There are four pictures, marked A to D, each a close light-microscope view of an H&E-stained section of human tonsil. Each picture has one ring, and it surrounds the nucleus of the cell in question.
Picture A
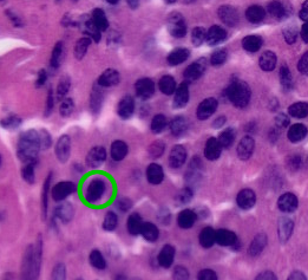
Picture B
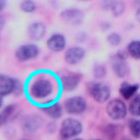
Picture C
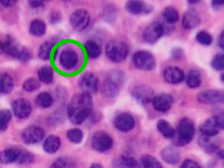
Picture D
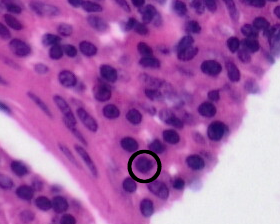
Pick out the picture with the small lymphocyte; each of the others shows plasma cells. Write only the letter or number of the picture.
B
